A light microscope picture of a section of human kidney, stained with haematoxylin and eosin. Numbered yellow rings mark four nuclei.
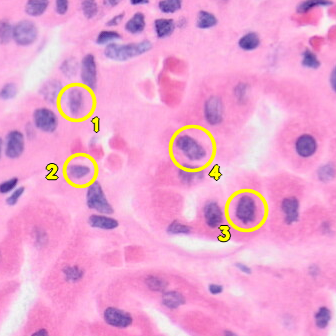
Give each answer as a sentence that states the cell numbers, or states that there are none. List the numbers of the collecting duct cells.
There is only one numbered cell that is a collecting duct cell, and it is cell 1.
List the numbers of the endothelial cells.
The nucleus numbered 2 is the only one that belongs to an endothelial cell.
